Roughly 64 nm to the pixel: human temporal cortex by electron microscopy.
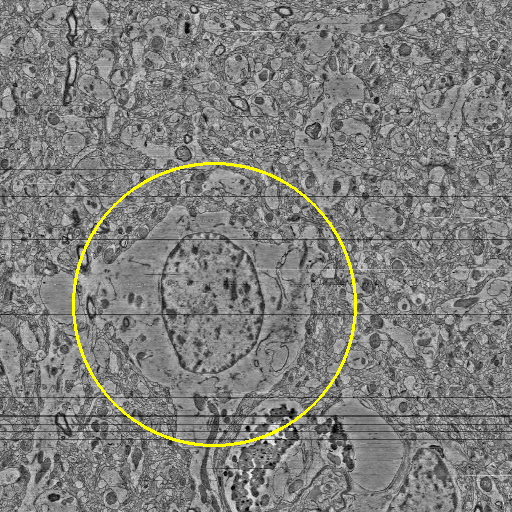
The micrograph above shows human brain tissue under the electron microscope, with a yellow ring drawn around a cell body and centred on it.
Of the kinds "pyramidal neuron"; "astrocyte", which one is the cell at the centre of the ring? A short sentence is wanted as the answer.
The one at the centre of the ring is an astrocyte.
